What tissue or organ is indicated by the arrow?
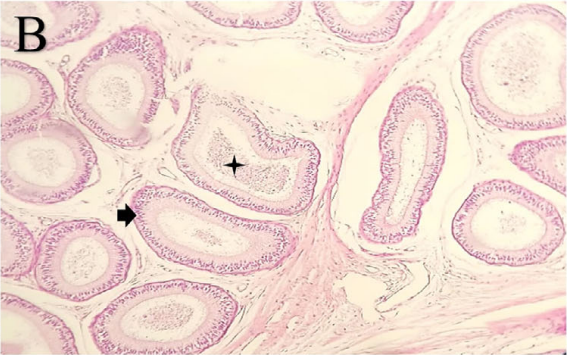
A: Epithelium of coils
